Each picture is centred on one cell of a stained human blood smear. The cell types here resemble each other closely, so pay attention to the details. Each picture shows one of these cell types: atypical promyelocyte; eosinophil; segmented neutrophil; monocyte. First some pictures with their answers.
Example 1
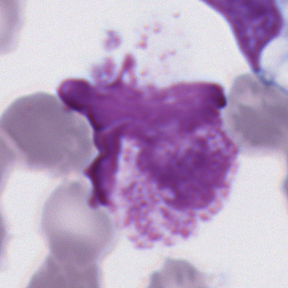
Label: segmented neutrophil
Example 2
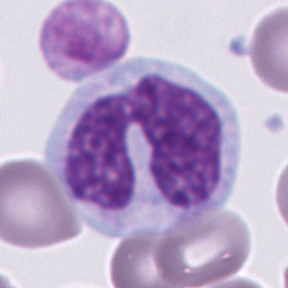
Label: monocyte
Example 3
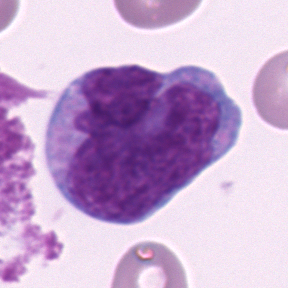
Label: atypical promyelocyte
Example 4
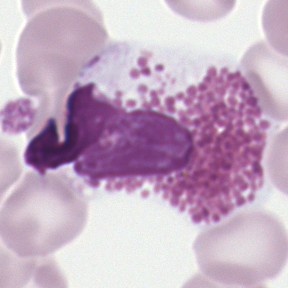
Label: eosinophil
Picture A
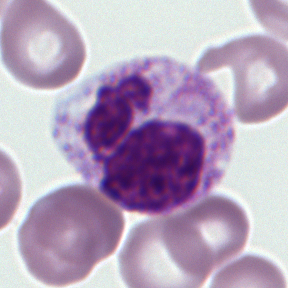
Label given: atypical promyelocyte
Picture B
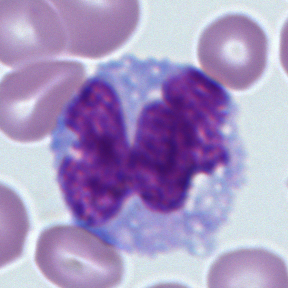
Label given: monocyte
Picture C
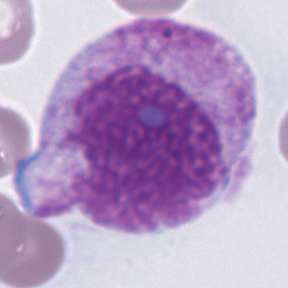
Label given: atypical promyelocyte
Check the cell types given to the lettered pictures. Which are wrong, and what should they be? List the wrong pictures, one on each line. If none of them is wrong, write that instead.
A: change atypical promyelocyte to segmented neutrophil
